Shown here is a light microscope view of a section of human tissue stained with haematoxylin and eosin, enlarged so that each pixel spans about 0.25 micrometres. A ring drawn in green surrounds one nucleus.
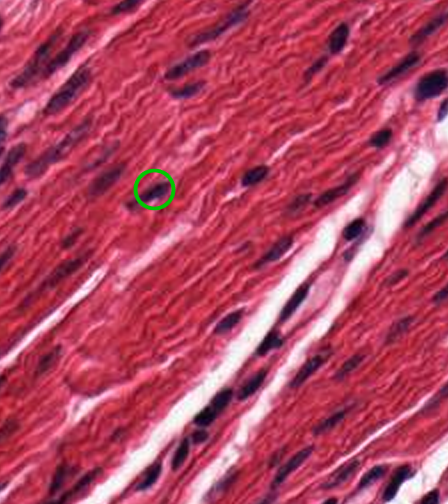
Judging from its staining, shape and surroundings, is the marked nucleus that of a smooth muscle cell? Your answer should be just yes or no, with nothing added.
yes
